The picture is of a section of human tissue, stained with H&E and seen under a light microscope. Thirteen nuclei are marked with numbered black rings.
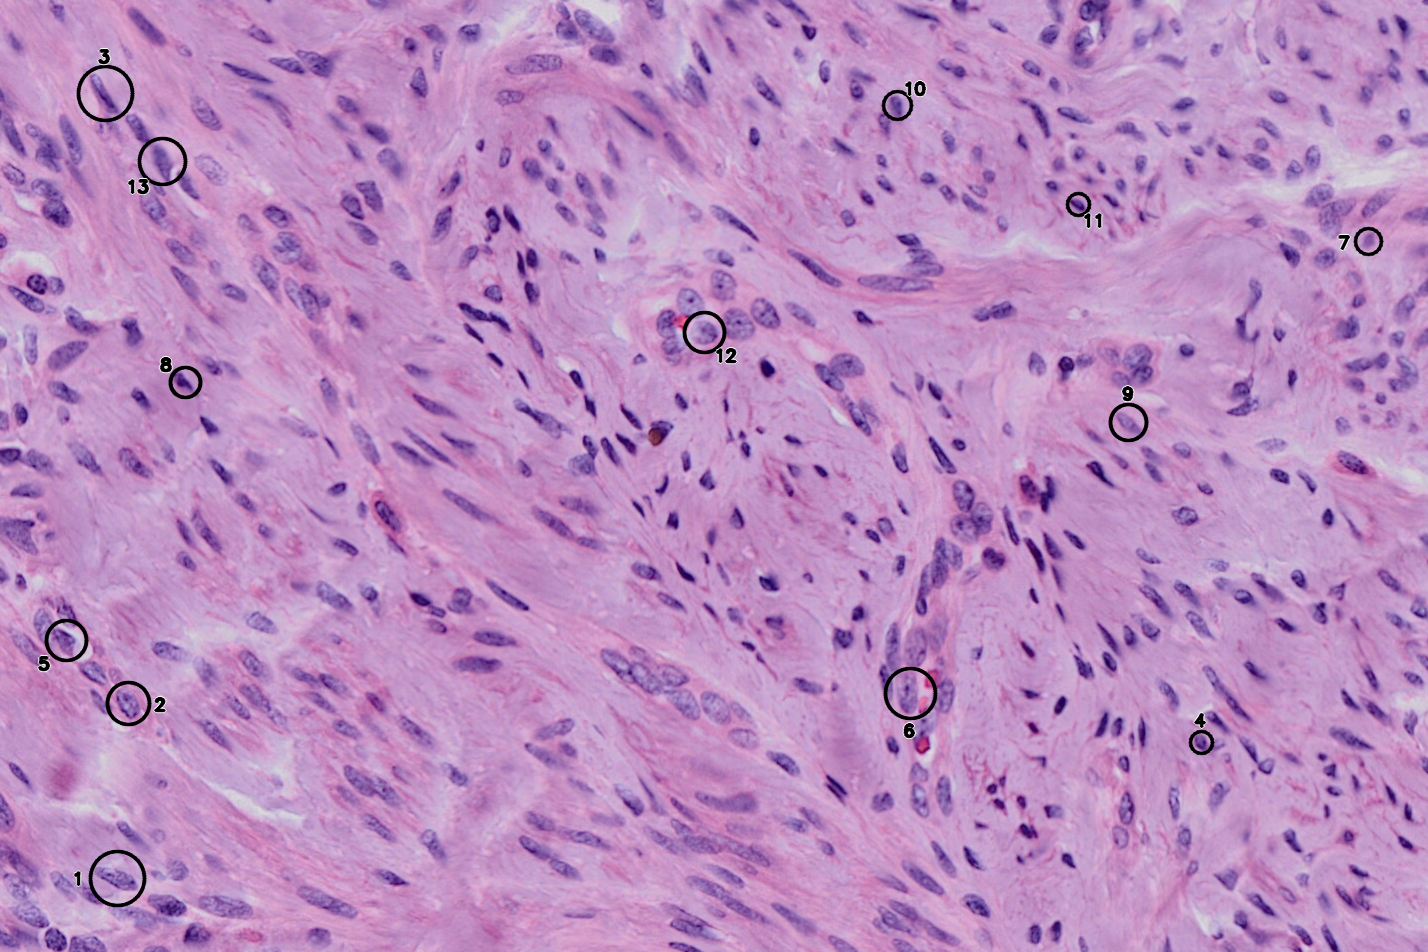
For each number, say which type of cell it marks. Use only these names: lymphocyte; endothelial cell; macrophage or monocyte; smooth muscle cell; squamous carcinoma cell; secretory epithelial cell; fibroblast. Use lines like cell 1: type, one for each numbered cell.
cell 1: fibroblast
cell 2: endothelial cell
cell 3: fibroblast
cell 4: fibroblast
cell 5: endothelial cell
cell 6: endothelial cell
cell 7: smooth muscle cell
cell 8: fibroblast
cell 9: smooth muscle cell
cell 10: fibroblast
cell 11: fibroblast
cell 12: endothelial cell
cell 13: fibroblast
